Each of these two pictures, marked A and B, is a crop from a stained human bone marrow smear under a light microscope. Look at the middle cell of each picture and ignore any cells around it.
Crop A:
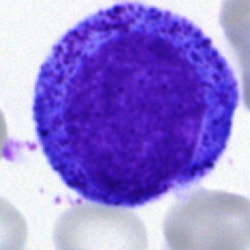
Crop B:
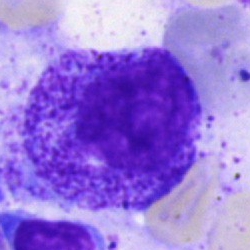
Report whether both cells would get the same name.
yes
